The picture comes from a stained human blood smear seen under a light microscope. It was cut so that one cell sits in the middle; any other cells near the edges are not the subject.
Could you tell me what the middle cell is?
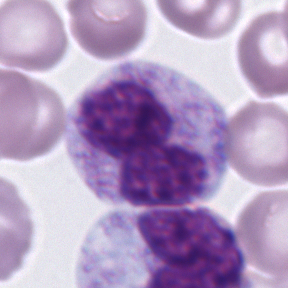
band neutrophil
